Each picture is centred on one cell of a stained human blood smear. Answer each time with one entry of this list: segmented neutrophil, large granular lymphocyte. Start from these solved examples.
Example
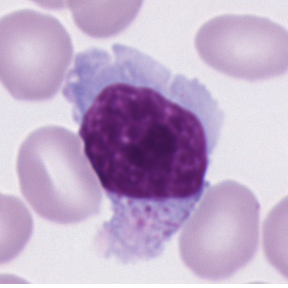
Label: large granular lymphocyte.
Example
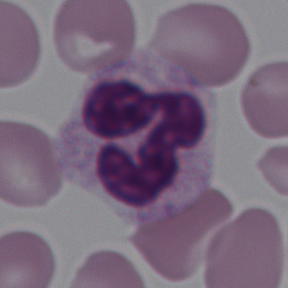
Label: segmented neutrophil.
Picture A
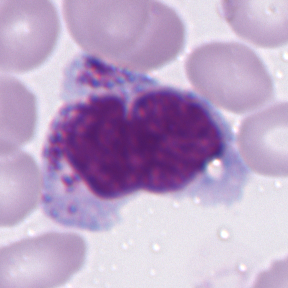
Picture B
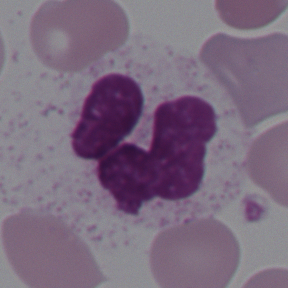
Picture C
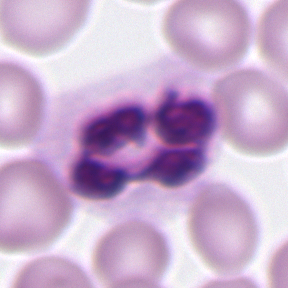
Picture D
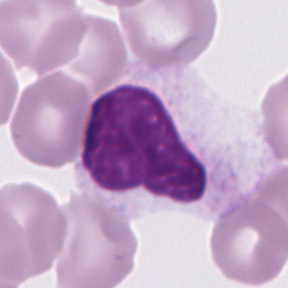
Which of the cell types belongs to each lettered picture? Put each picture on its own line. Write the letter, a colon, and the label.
A: large granular lymphocyte.
B: segmented neutrophil.
C: segmented neutrophil.
D: segmented neutrophil.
